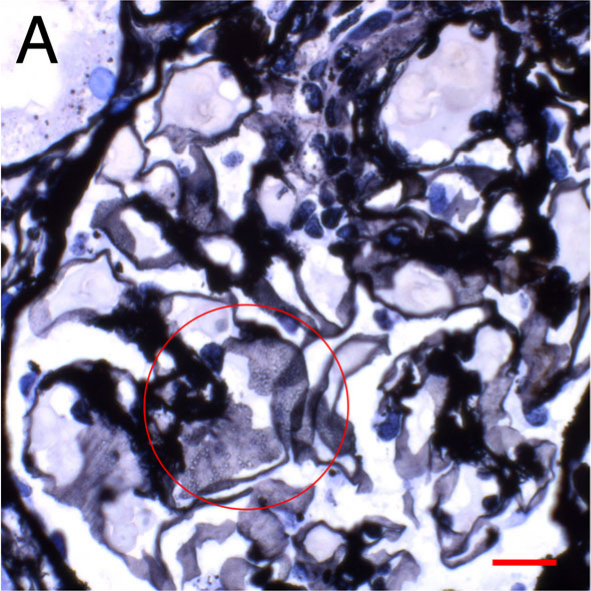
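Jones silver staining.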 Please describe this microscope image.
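The capillary walls stand out as black to dark grey outlines around pale, rounded capillary lumina. Blue nuclei are crowded among the loops, mostly in the upper middle. In the lower left, part of the grey membrane has a bubbly, speckled texture with many small pale round spaces. Elsewhere the membranes look irregular and partly thickened.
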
